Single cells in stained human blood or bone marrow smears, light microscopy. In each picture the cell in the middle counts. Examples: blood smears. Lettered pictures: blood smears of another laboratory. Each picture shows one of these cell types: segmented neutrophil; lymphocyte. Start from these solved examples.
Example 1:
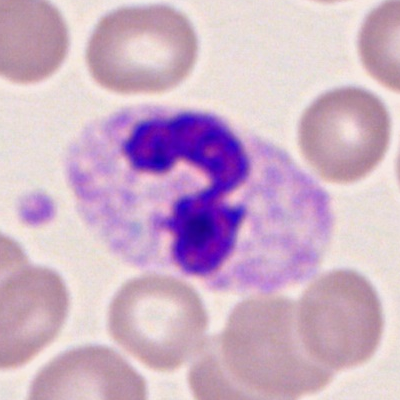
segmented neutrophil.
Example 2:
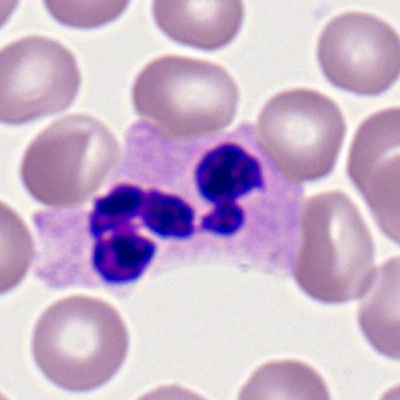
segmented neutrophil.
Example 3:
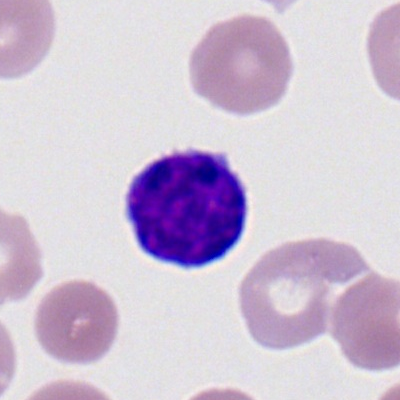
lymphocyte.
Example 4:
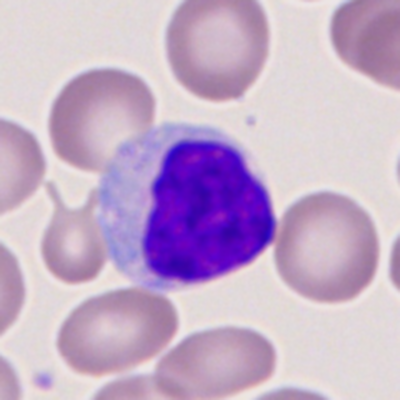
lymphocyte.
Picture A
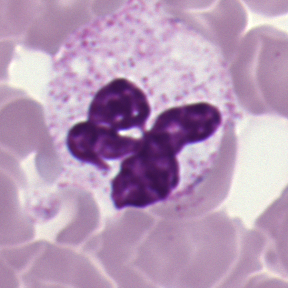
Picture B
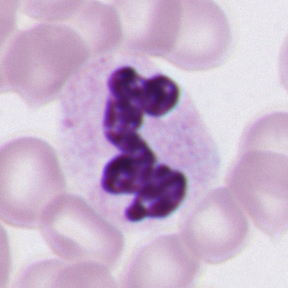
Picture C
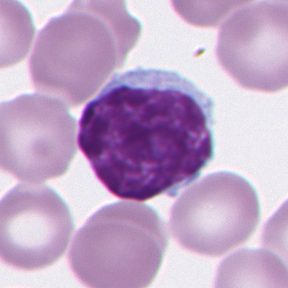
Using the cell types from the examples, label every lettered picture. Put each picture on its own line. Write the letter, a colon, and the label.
A: segmented neutrophil.
B: segmented neutrophil.
C: lymphocyte.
